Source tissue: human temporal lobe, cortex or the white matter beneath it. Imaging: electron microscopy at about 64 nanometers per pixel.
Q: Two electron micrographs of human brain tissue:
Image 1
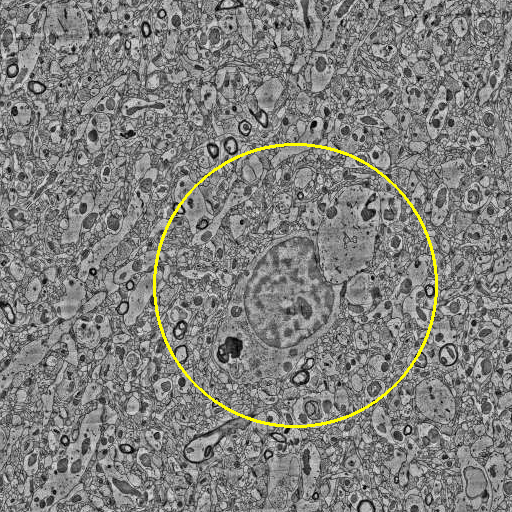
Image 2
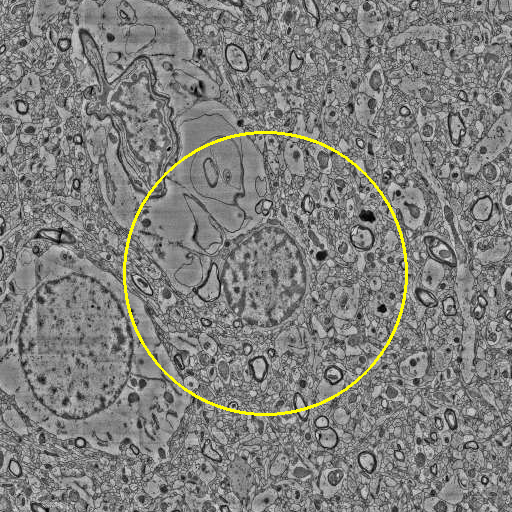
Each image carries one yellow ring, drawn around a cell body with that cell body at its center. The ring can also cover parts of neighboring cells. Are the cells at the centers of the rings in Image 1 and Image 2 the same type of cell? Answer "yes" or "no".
yes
